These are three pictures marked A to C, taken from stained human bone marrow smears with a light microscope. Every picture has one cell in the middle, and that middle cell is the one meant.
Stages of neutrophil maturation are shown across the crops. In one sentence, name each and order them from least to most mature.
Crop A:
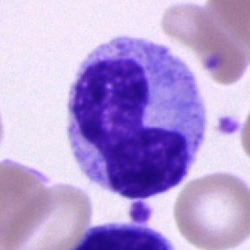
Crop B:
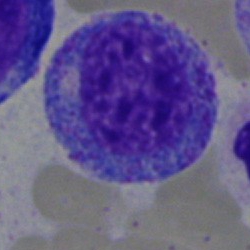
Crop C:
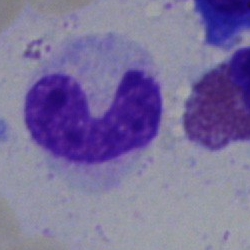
Taken from least to most mature, the sequence is crop B (a promyelocyte), crop A (a metamyelocyte) and crop C (a band neutrophil).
